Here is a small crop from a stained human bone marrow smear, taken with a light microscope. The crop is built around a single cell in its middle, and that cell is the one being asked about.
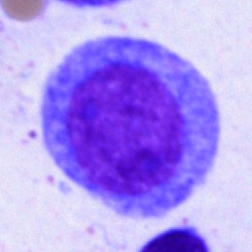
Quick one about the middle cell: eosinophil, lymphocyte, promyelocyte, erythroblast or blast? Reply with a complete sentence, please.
The centrally located cell in the crop is a promyelocyte.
